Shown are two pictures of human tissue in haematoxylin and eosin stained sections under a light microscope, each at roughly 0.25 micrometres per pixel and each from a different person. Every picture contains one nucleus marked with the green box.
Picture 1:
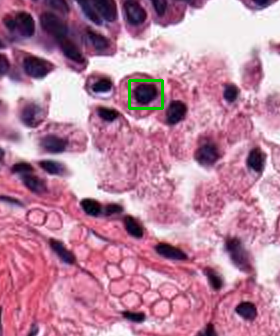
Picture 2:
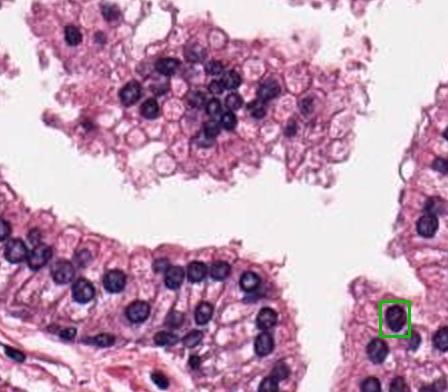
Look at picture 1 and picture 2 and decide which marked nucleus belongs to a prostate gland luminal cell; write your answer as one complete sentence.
In picture 2, the marked nucleus is one belonging to a prostate gland luminal cell.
